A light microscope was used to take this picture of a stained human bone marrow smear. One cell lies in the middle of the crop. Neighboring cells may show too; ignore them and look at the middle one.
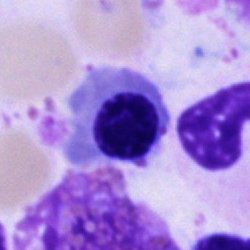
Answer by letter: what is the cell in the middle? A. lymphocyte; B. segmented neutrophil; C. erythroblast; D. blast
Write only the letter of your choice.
C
